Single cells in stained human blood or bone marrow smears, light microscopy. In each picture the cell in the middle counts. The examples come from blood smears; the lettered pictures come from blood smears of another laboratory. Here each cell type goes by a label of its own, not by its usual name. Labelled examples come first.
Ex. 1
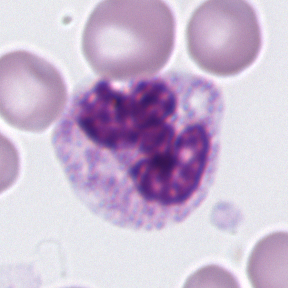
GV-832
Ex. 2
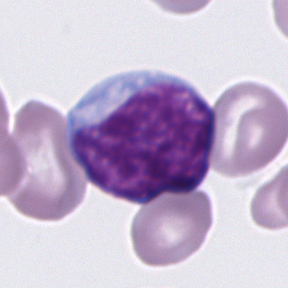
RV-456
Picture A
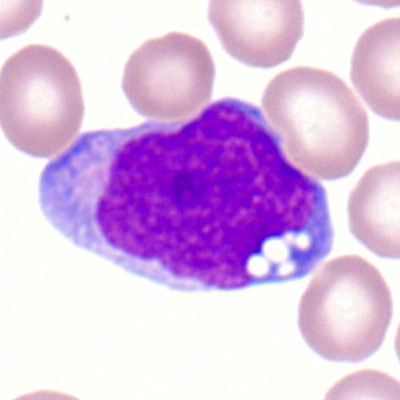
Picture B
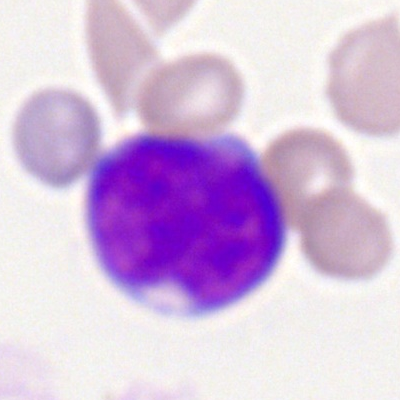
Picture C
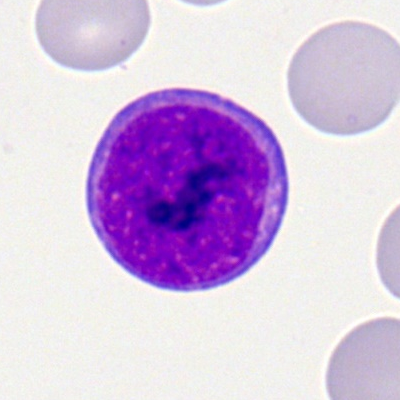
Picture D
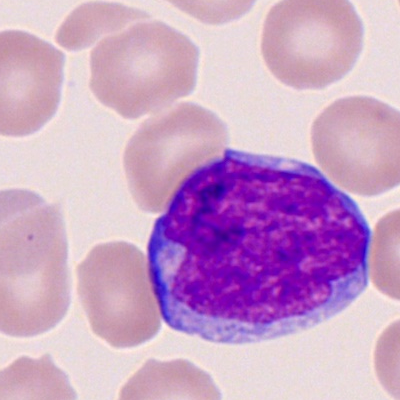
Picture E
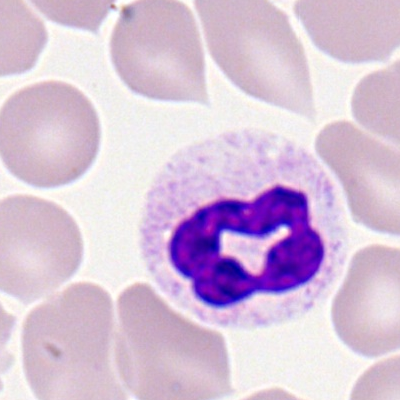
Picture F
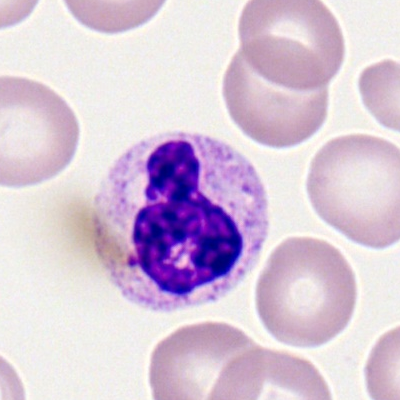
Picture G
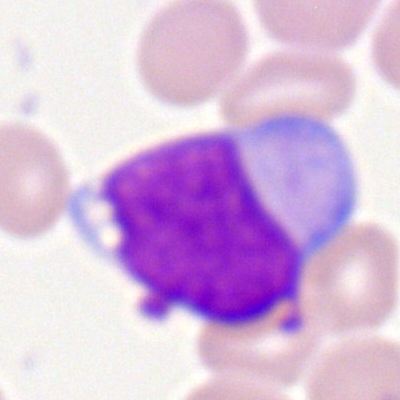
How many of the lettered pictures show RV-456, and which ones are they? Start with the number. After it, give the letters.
Count: 5 (A, B, C, D, G)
